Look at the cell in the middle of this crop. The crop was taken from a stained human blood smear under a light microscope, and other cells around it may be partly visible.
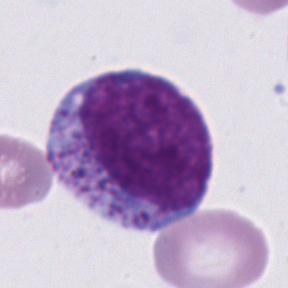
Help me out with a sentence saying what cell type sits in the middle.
For this crop, the cell in the middle is a promyelocyte.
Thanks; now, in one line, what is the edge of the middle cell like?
The border of this cell runs smooth and free of any projections.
